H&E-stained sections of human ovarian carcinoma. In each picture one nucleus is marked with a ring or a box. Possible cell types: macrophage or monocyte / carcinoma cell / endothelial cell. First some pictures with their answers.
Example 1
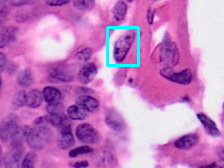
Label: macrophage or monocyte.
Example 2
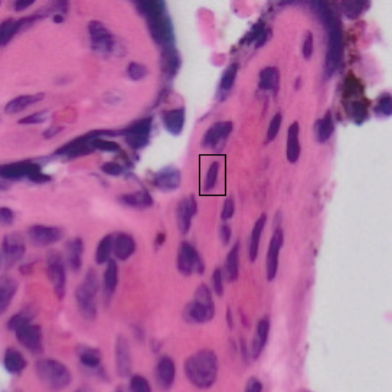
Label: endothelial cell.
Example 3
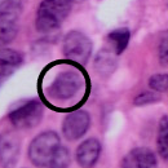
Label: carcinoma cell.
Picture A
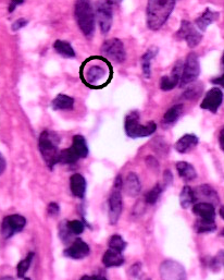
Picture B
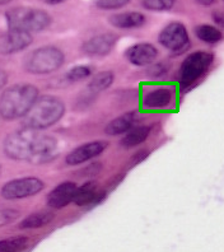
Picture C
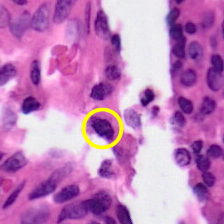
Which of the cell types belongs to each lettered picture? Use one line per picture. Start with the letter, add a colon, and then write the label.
A: macrophage or monocyte.
B: carcinoma cell.
C: macrophage or monocyte.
